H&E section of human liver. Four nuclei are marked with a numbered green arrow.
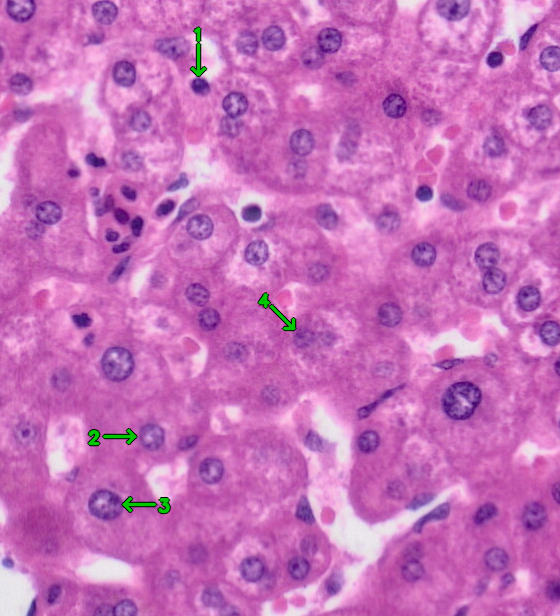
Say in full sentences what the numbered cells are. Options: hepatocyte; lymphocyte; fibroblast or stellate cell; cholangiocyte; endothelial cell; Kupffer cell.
Cell 1 is a lymphocyte. Cells 2, 3 and 4 are hepatocytes.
